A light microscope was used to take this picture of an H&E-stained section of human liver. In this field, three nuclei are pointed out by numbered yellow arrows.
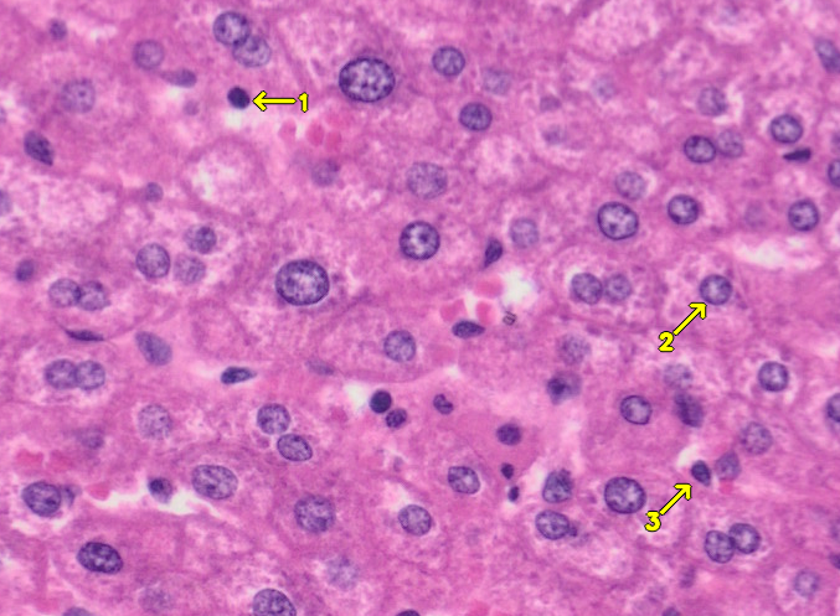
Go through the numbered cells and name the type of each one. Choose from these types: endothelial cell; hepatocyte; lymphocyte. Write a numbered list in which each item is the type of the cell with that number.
1. lymphocyte
2. hepatocyte
3. lymphocyte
